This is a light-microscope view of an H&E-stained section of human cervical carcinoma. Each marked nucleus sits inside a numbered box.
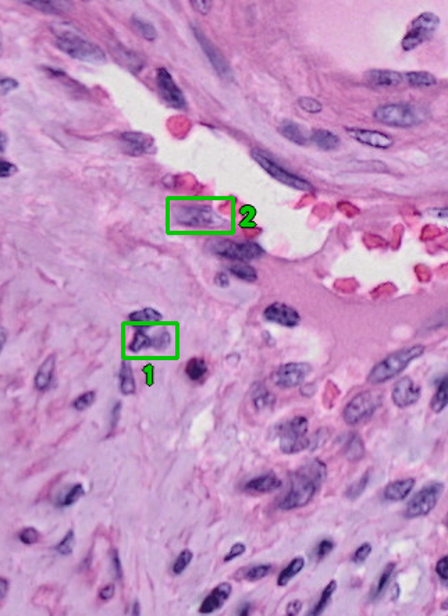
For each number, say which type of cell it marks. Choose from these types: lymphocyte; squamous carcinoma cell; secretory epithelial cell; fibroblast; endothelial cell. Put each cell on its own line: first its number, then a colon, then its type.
1: lymphocyte
2: endothelial cell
